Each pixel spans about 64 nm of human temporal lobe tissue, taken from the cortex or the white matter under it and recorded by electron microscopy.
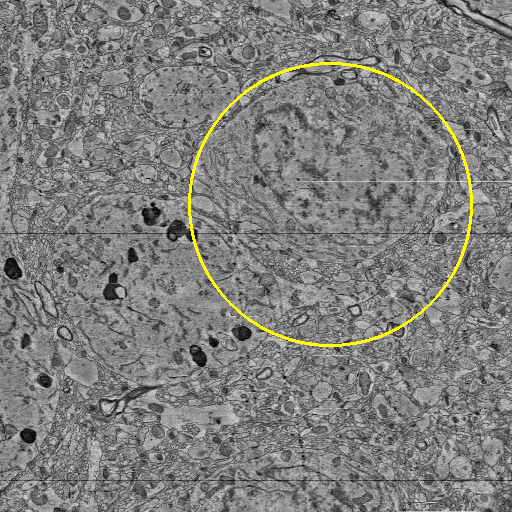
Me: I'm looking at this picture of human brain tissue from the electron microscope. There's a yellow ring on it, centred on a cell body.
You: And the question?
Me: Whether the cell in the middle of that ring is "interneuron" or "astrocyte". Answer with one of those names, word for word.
interneuron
